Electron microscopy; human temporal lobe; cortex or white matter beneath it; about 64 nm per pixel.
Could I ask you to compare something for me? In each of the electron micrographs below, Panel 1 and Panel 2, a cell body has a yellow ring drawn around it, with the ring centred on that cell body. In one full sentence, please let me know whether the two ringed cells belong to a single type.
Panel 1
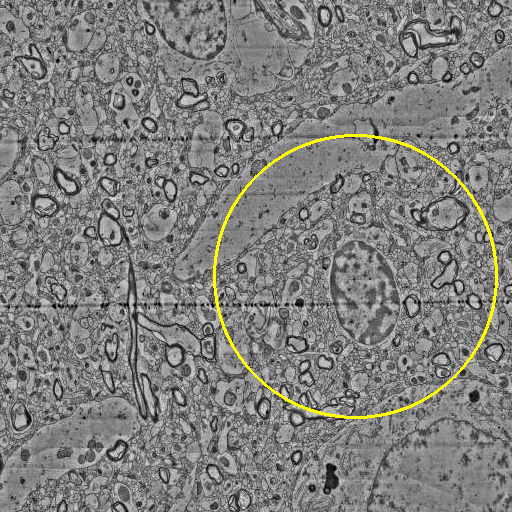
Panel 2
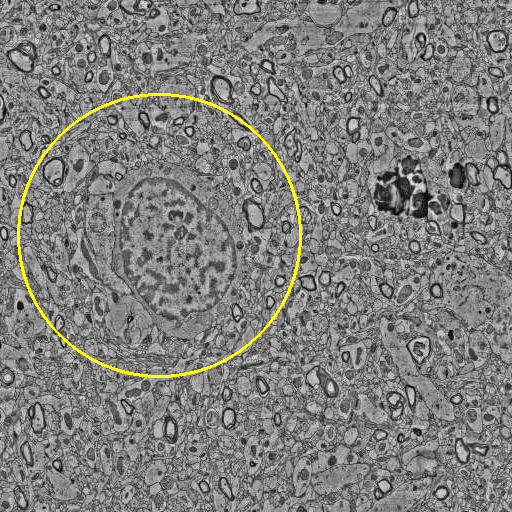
No, the two cells at the centres of the rings are of two types.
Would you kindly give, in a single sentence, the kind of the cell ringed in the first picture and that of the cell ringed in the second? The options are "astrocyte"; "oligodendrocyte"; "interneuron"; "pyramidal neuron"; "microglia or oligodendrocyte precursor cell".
The second cell is an oligodendrocyte, and the first cell is a microglial cell or oligodendrocyte precursor cell.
